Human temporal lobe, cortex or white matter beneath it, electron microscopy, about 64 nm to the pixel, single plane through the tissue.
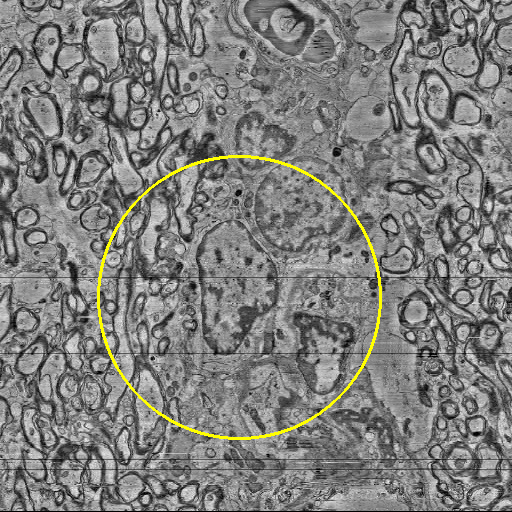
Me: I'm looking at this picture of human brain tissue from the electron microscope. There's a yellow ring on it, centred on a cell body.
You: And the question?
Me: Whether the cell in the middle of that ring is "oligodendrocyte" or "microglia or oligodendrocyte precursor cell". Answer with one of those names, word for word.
microglia or oligodendrocyte precursor cell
